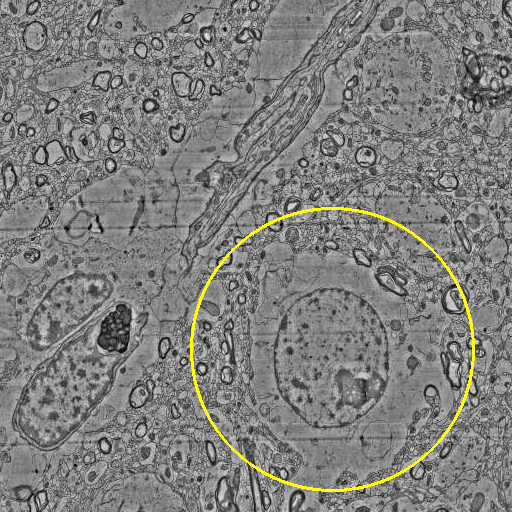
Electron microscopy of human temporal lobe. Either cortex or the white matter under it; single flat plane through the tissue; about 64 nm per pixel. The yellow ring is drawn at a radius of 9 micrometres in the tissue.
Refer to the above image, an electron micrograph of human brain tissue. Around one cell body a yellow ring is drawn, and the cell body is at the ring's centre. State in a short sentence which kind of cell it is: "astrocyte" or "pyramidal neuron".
The centre of the ring falls on an astrocyte.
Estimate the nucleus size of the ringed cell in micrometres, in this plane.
Roughly 9 by 7 micrometres in this plane, for the nucleus of the ringed cell.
